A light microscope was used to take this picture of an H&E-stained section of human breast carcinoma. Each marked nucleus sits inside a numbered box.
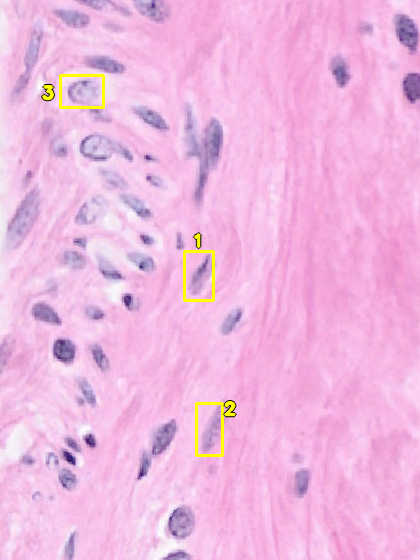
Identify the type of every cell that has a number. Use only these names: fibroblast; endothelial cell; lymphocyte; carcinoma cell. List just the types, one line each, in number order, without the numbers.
fibroblast
fibroblast
endothelial cell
